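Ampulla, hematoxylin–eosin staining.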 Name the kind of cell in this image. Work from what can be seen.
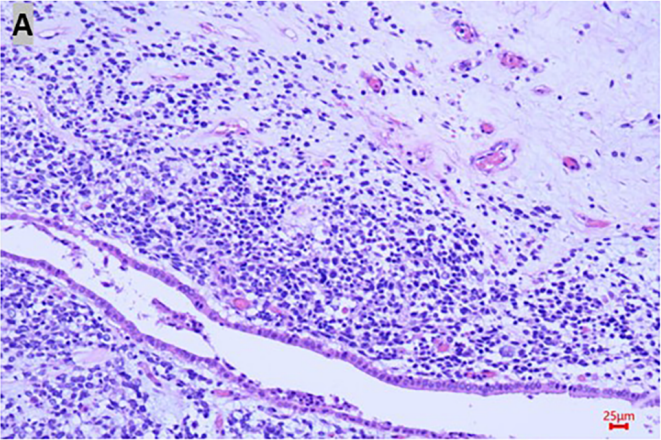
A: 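Densely packed cells with small round, dark-staining nuclei and scant cytoplasm. Nuclei vary in size and shape.
Hence: small round atypic cells.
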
